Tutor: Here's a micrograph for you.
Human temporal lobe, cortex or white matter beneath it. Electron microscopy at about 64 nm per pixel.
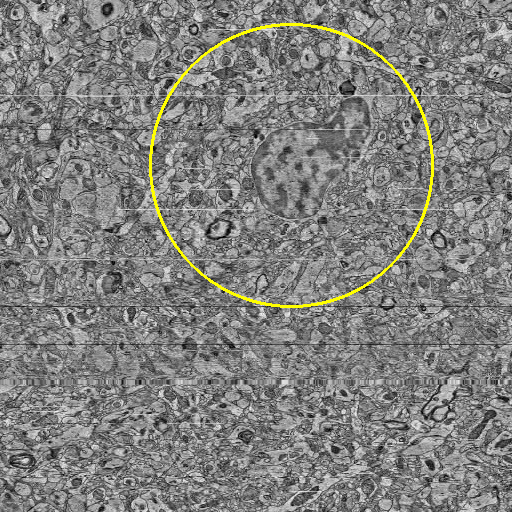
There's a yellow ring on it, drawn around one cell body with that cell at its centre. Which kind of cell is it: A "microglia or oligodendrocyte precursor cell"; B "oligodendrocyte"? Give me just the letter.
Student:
A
